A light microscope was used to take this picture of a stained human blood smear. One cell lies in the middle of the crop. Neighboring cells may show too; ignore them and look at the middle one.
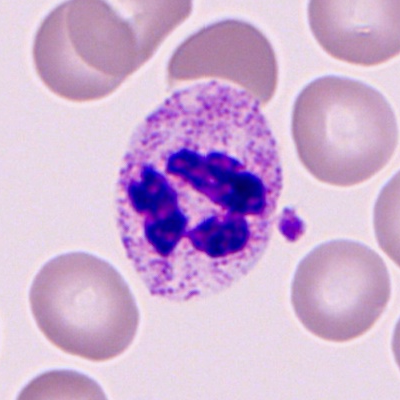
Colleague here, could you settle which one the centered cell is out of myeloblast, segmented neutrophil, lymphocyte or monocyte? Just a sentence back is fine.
The cell sitting right in the middle is a segmented neutrophil.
